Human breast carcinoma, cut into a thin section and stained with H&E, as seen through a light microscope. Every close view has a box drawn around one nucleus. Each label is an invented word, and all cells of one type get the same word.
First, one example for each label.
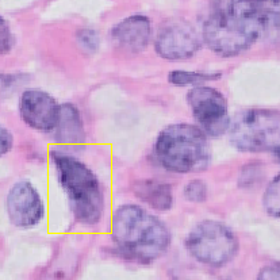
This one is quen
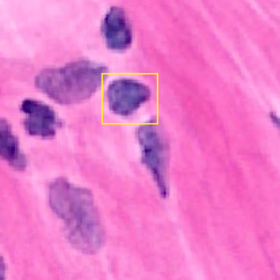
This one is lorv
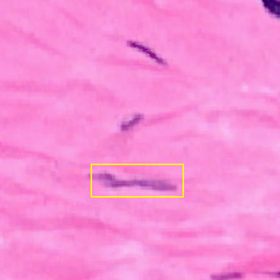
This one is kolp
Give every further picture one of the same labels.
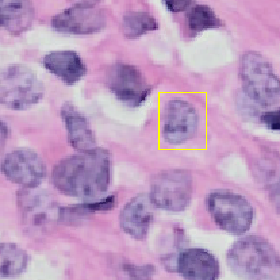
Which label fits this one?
quen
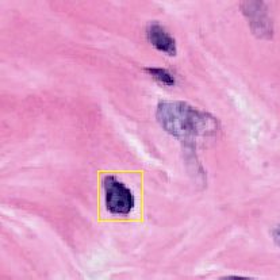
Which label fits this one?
lorv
